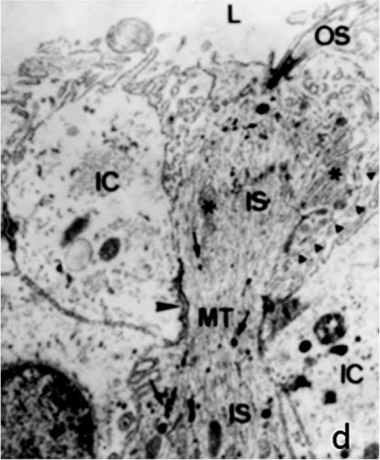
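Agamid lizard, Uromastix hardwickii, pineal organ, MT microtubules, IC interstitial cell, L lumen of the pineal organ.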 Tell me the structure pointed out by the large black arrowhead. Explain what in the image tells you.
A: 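Zonula adherens. The arrowhead points to a dense dark thickening of the membrane between two adjoining cells.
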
